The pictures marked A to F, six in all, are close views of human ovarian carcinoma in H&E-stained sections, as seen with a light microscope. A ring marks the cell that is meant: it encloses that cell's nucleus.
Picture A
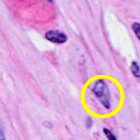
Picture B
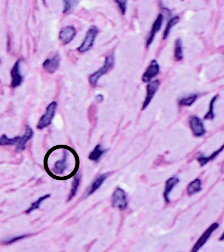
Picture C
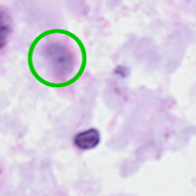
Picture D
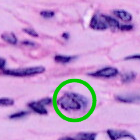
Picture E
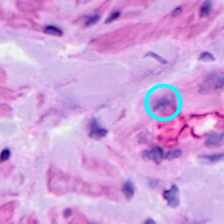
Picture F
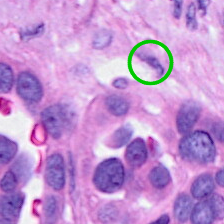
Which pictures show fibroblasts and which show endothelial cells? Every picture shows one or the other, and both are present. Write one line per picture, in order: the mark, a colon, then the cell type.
A: fibroblast
B: fibroblast
C: fibroblast
D: endothelial cell
E: endothelial cell
F: fibroblast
